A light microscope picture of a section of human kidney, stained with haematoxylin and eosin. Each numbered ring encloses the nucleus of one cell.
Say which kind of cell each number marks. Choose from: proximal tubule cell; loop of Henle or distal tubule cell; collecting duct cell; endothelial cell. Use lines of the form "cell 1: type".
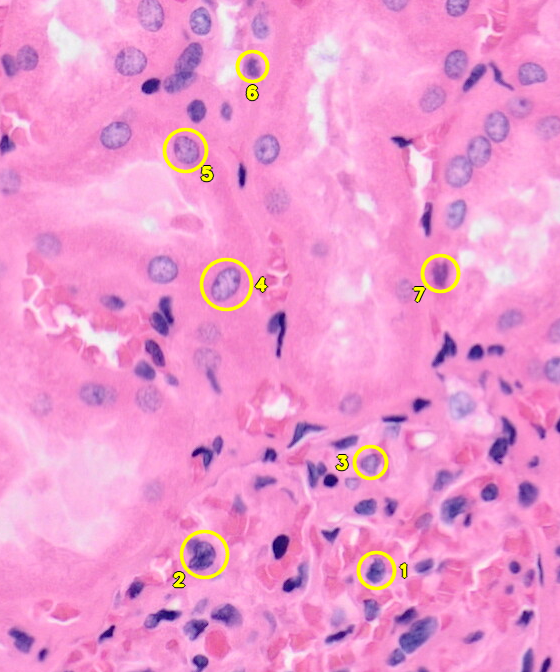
cell 1: endothelial cell
cell 2: endothelial cell
cell 3: endothelial cell
cell 4: proximal tubule cell
cell 5: proximal tubule cell
cell 6: collecting duct cell
cell 7: proximal tubule cell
